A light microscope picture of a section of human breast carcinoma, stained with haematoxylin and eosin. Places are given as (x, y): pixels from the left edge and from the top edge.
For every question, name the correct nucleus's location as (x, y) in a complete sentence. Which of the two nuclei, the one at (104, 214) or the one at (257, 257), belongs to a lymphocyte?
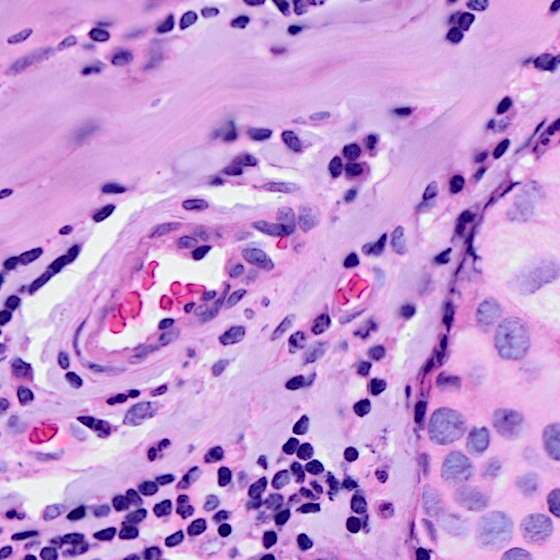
The nucleus located at (104, 214) is the one held within a lymphocyte.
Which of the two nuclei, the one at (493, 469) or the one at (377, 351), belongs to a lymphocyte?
The nucleus at (377, 351) is part of a lymphocyte, while the other is not.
